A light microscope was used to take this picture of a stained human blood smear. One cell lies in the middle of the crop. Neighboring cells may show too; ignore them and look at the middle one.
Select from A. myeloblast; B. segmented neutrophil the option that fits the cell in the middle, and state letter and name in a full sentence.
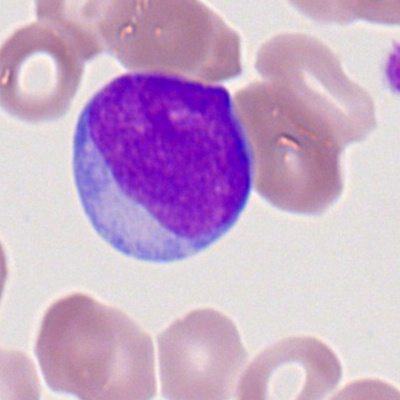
The correct option here is A; the middle cell is a myeloblast.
